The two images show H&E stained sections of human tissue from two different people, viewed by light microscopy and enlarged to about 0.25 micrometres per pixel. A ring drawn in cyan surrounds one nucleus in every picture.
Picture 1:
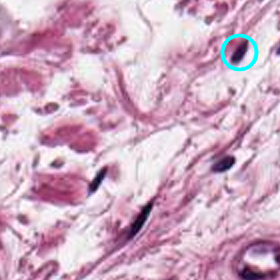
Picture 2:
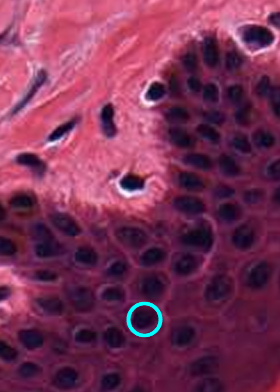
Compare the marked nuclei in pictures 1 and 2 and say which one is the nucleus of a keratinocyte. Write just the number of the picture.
2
